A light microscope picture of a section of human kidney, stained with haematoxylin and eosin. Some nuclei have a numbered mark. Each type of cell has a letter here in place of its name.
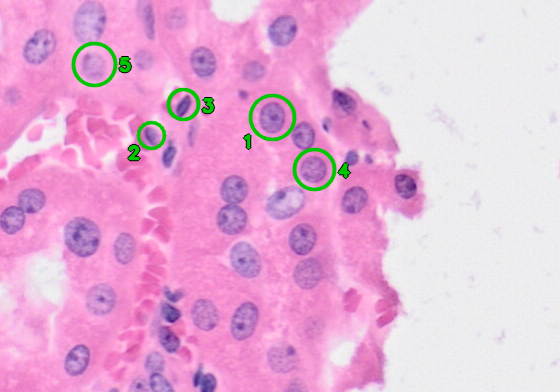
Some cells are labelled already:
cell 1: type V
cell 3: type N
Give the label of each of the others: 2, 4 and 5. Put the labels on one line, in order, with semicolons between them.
type N; type V; type V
